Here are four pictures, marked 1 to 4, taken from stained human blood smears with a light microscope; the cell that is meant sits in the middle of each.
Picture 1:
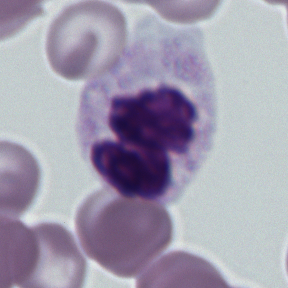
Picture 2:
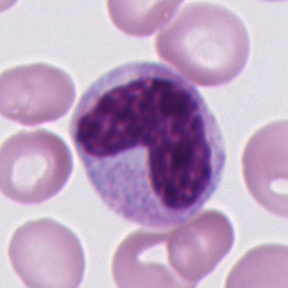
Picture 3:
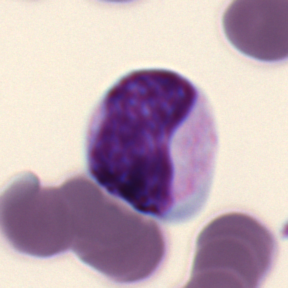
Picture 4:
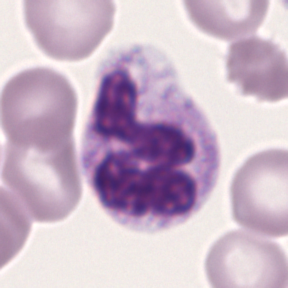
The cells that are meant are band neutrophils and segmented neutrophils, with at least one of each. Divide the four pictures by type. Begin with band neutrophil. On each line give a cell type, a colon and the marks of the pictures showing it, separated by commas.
band neutrophil: 2, 3
segmented neutrophil: 1, 4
